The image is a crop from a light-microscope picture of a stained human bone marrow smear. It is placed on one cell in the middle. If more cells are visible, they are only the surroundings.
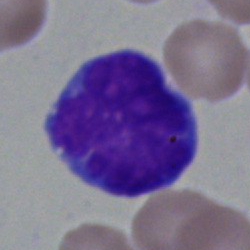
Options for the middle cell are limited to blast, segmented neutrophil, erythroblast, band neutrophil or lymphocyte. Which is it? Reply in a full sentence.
The cell that lies at the centre of the crop is a blast.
